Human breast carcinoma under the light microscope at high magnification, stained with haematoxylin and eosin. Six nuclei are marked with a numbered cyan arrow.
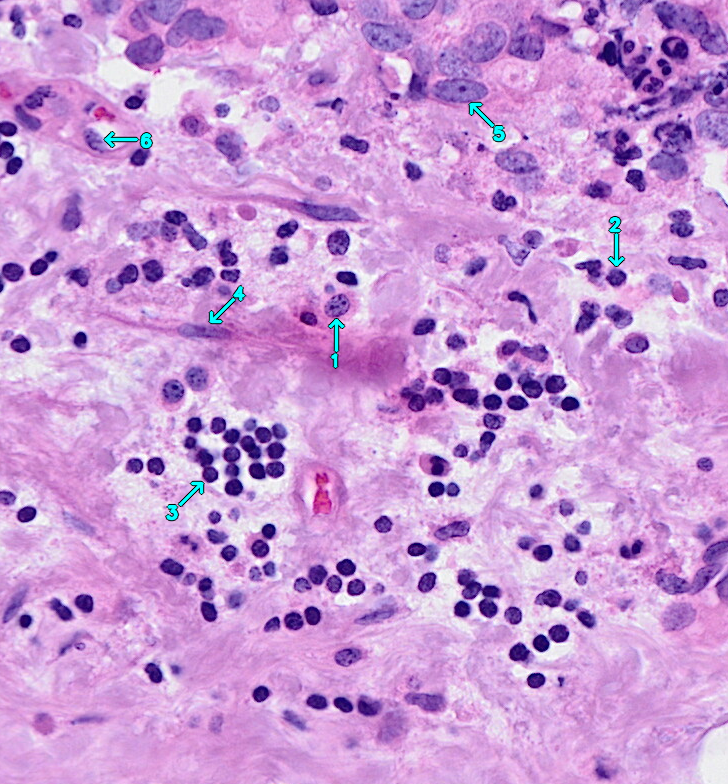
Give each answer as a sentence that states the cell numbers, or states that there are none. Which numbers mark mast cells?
Of the cells marked with numbers, cell 1 is the only one that is a mast cell.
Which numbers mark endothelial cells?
Being an endothelial cell is true of cell 6 and of no other numbered cell.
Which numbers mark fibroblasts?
Only the cell at mark 4 is a fibroblast, and no other marked cell is.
